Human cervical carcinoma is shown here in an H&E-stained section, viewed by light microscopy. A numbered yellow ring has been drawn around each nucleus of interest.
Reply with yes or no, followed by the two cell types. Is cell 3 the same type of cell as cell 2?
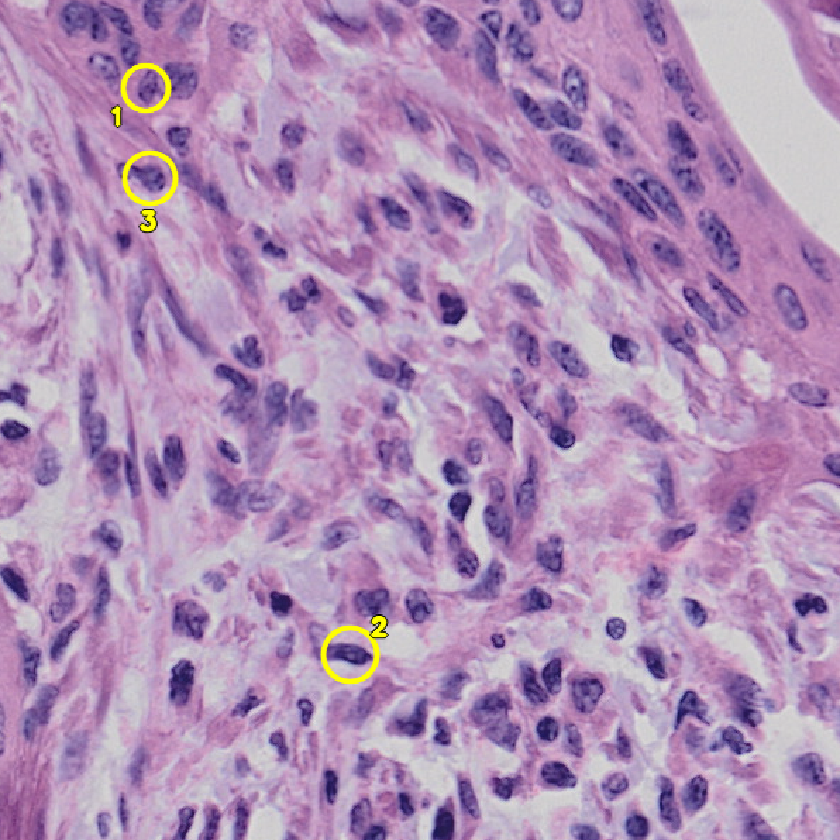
Yes, both are lymphocytes.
